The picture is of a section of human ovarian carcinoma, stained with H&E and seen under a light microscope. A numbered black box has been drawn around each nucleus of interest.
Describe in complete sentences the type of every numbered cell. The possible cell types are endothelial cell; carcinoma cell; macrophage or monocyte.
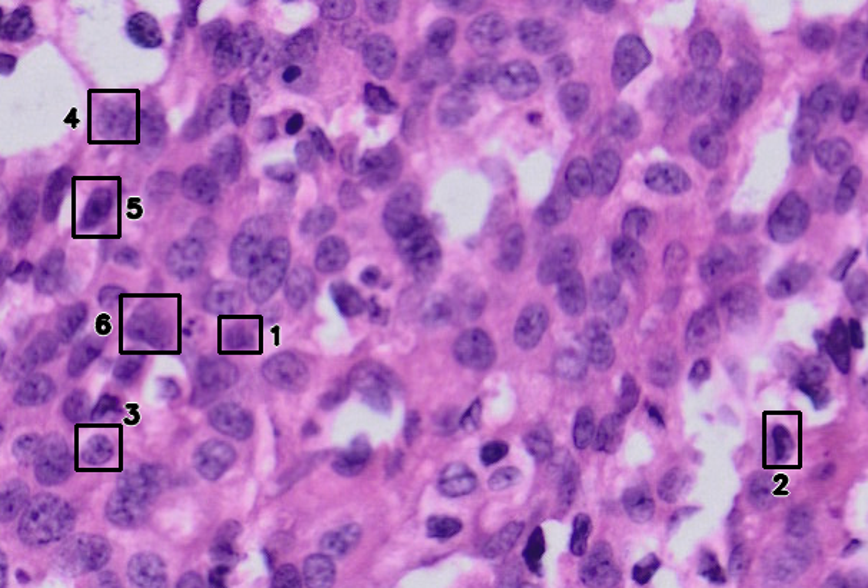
Cells 1, 4, 5 and 6 are carcinoma cells. Cells 2 and 3 are macrophages or monocytes.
